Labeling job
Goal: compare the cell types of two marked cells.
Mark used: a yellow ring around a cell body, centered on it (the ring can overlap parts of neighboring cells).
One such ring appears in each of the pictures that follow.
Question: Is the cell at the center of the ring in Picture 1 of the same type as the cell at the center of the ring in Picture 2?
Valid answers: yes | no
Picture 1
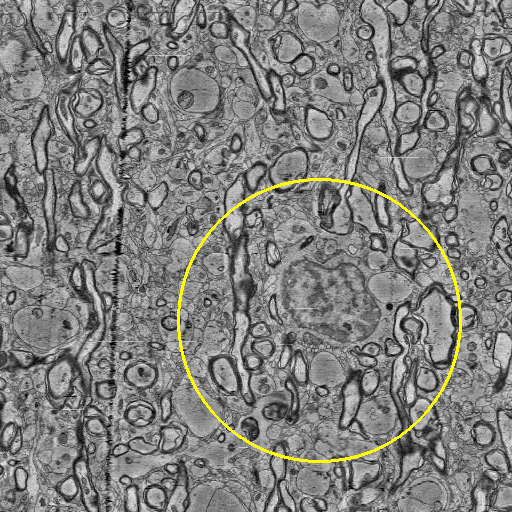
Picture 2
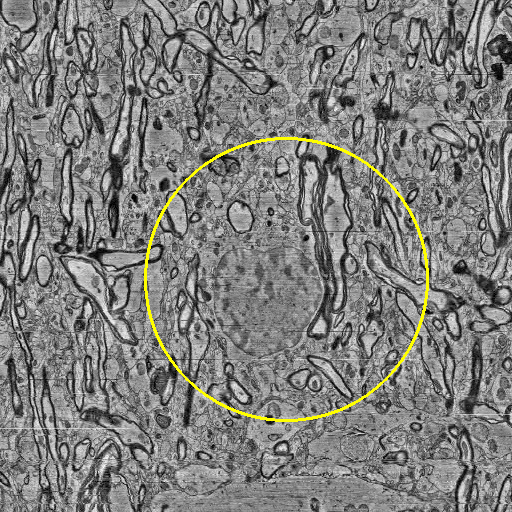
yes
